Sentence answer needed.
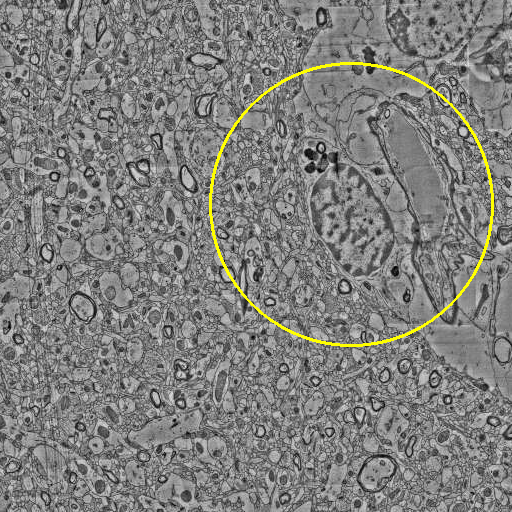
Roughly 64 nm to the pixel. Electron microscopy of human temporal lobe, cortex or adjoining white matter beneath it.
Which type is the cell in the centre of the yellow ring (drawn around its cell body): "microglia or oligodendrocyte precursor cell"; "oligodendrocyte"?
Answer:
In the centre of the yellow ring is a microglial cell or oligodendrocyte precursor cell.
